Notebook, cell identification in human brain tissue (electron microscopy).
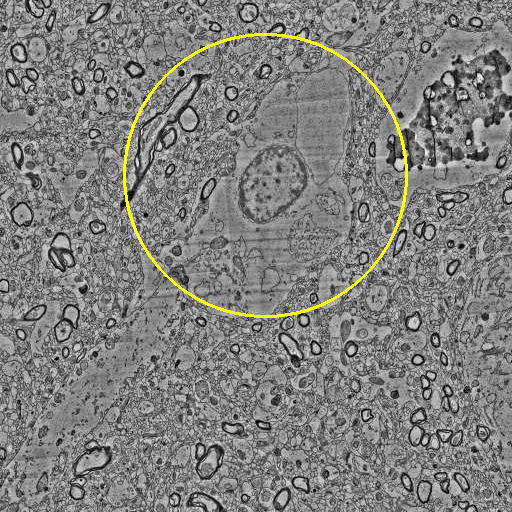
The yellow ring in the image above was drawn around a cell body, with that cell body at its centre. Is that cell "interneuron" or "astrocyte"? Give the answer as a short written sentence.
The cell in the ring is an astrocyte.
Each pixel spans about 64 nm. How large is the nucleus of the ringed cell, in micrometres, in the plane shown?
The nucleus measures about 5 by 4 micrometres in this plane.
